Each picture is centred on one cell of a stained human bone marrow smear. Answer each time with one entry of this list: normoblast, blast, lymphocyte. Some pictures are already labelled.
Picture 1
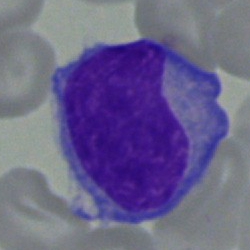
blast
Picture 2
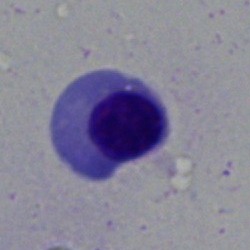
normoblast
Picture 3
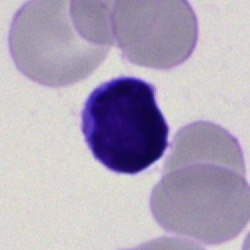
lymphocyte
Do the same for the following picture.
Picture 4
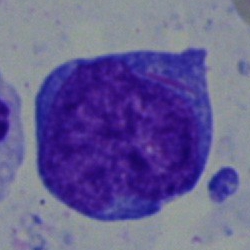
blast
